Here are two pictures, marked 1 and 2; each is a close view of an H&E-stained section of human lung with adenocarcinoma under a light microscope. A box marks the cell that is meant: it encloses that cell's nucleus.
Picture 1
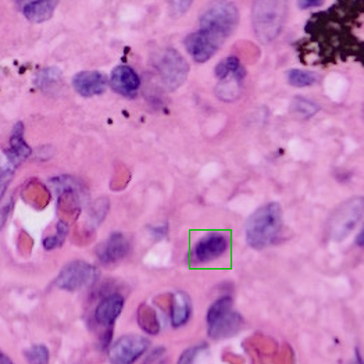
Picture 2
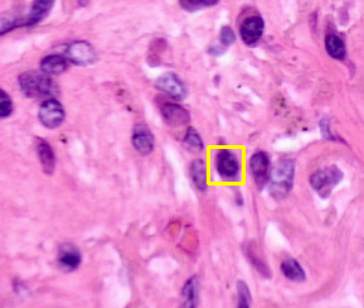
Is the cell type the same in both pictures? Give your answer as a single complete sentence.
Yes, the two pictures both show plasma cells.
